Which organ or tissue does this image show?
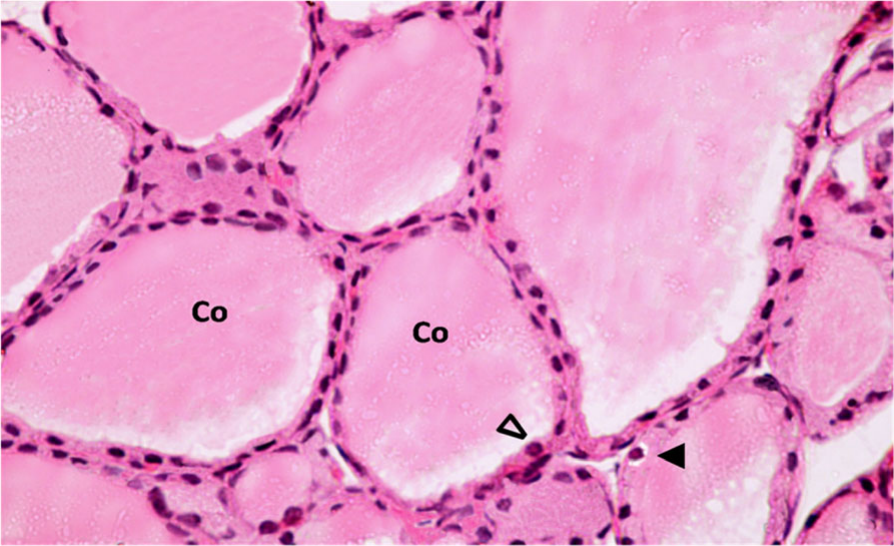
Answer: Thyroid gland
